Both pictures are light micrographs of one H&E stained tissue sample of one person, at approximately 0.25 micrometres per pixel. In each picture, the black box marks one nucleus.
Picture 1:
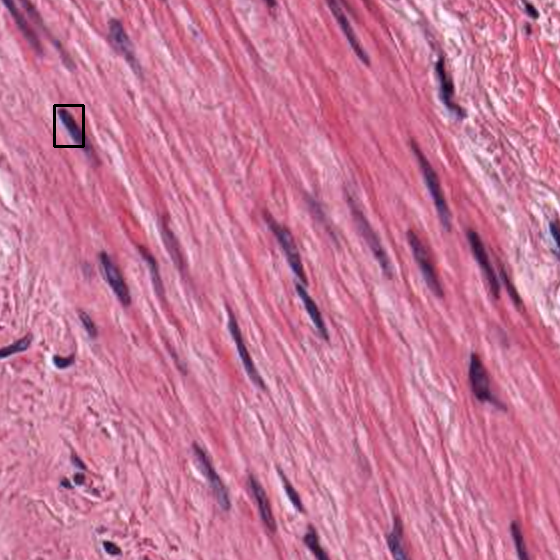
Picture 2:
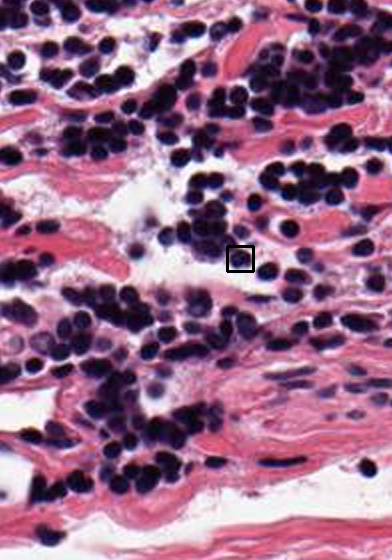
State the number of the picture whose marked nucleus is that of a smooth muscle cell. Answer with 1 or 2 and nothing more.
1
